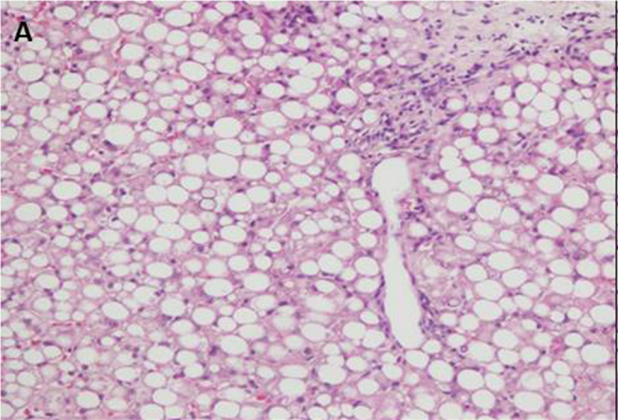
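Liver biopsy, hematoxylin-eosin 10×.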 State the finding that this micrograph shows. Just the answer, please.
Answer: micro-macrovacuolar steatohepatitis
